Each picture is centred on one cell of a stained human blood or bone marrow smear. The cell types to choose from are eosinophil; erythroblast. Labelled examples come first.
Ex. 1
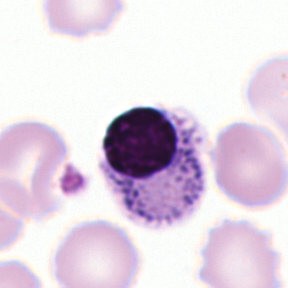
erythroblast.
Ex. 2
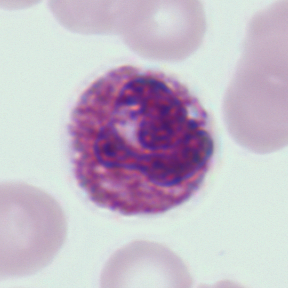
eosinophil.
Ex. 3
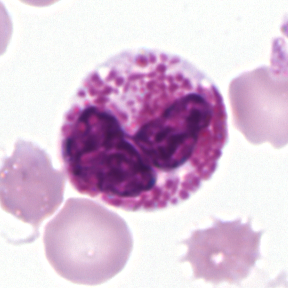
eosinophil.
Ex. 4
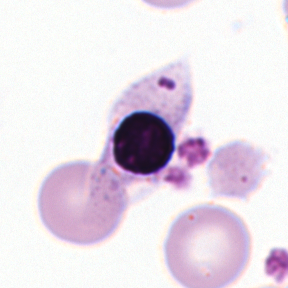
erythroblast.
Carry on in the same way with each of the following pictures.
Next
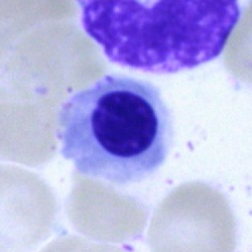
erythroblast.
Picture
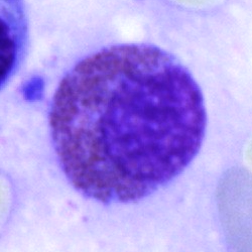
eosinophil.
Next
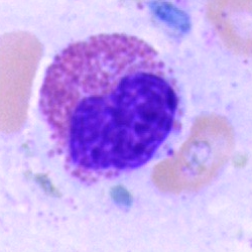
eosinophil.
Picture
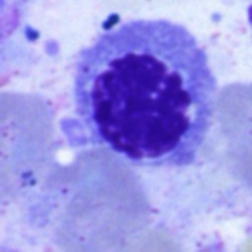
erythroblast.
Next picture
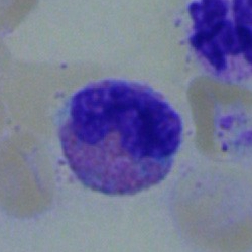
eosinophil.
